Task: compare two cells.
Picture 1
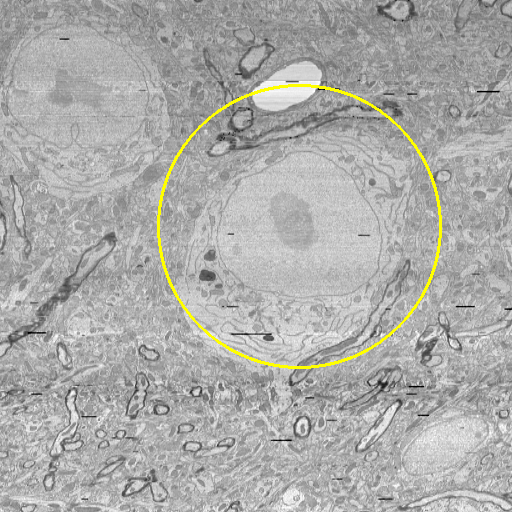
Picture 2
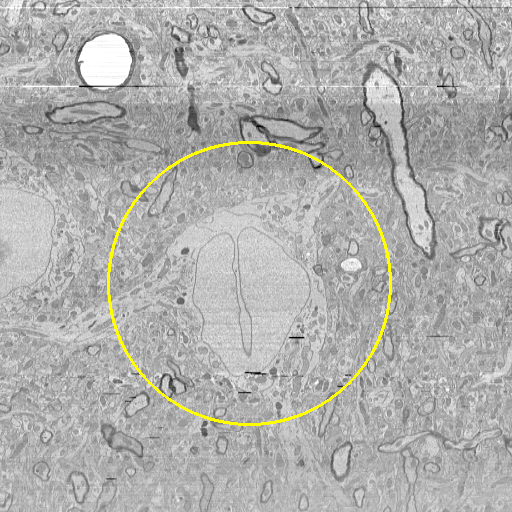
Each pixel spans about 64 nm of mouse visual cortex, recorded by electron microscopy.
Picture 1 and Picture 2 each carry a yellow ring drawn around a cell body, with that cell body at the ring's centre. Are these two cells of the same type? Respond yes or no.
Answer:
yes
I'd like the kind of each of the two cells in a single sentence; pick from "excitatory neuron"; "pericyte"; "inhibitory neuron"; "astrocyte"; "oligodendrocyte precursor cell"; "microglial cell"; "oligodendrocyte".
Both rings mark an excitatory neuron, one in each picture.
